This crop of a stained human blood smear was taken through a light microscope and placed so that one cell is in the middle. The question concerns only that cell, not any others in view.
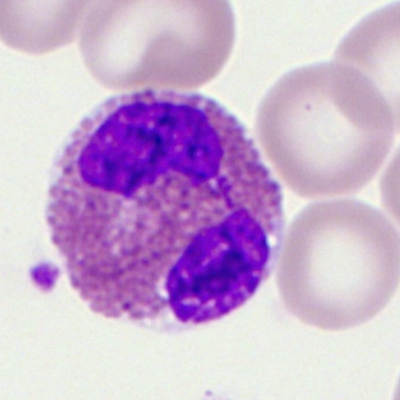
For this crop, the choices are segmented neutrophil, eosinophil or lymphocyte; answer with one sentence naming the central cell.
The single cell at the center of the crop is an eosinophil.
